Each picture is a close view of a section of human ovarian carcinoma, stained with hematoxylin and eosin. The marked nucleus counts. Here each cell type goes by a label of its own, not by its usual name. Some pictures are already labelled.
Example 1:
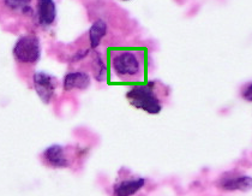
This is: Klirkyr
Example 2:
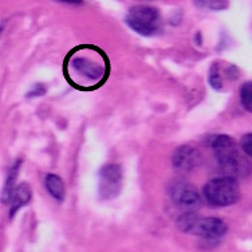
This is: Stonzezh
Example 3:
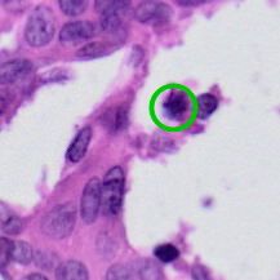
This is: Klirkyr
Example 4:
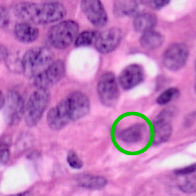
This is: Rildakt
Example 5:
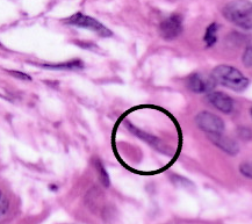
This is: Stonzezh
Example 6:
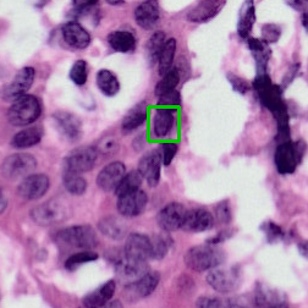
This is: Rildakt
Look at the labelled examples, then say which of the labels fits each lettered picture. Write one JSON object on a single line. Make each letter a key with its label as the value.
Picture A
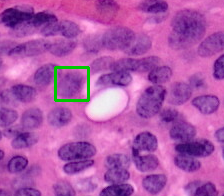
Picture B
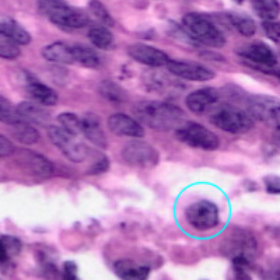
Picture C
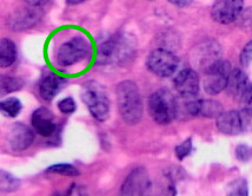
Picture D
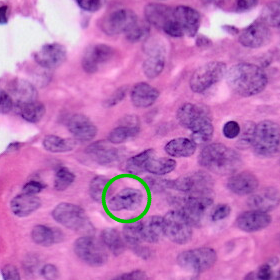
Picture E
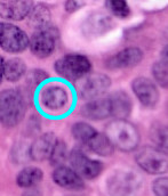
{"A": "Rildakt", "B": "Klirkyr", "C": "Rildakt", "D": "Klirkyr", "E": "Klirkyr"}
